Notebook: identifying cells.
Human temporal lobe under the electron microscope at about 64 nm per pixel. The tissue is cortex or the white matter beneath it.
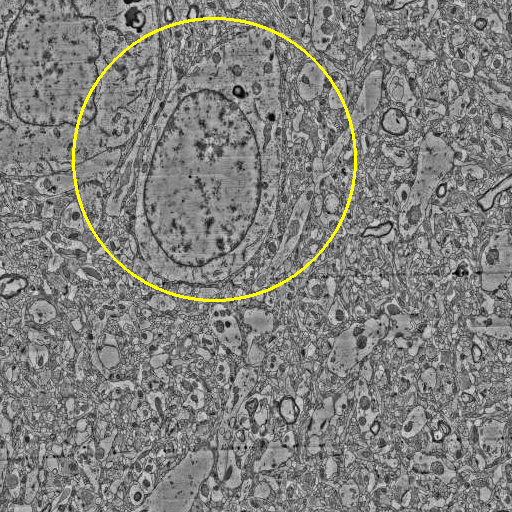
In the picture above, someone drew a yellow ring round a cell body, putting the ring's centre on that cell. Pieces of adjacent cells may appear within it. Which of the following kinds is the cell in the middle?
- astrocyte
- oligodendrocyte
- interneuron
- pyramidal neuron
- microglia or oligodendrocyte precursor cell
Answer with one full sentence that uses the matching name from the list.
In this picture, the yellow ring is centred on the body of a pyramidal neuron.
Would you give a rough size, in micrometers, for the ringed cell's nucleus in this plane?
The nucleus of the ringed cell is clearly longer than it is wide in this plane, about 11 by 7 micrometres.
